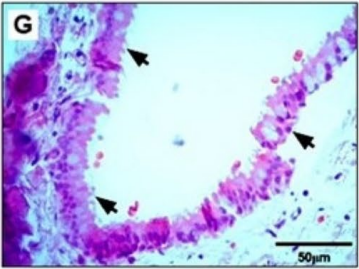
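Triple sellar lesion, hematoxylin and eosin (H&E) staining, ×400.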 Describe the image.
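This is respiratory-type pseudostratified ciliated columnar epithelium lining a lumen, with goblet cells among the columnar cells. The epithelium forms a curved band of tall cells whose nuclei lie at different heights. The cytoplasm stains pink to purple, and the luminal surface bears a fine fringe. Goblet cells appear as rounded, paler cells within the layer that bulge toward the lumen. Loose connective tissue with scattered nuclei lies beneath the epithelium.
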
